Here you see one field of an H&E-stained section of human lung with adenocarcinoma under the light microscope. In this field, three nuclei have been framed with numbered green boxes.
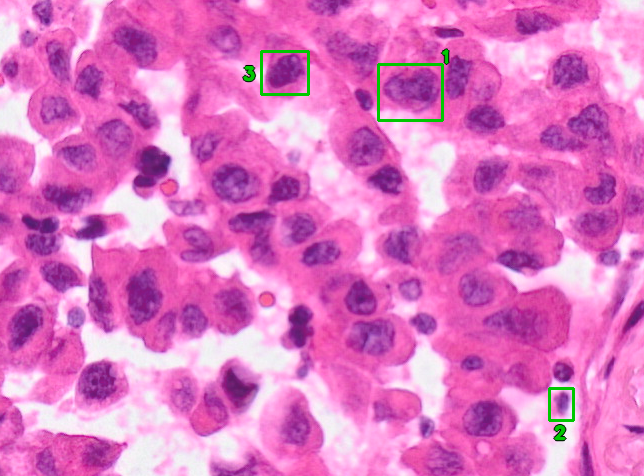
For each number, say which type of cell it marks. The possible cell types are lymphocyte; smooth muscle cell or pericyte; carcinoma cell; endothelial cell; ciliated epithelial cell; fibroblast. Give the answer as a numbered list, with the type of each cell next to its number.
1. carcinoma cell
2. lymphocyte
3. carcinoma cell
